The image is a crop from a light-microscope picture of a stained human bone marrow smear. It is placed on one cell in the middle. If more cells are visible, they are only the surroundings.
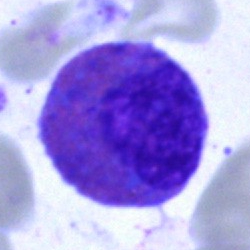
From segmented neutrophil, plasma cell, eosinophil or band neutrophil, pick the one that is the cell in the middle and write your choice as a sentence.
The cell the crop is centered on is an eosinophil.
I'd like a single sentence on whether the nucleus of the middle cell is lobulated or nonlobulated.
The nucleus is one compact mass, round, oval or kidney-shaped in outline.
